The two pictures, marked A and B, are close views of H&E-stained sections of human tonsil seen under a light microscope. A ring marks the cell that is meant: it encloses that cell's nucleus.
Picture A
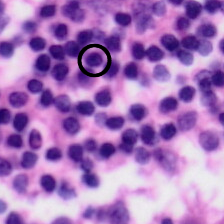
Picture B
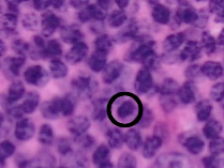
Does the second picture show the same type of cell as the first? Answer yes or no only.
yes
